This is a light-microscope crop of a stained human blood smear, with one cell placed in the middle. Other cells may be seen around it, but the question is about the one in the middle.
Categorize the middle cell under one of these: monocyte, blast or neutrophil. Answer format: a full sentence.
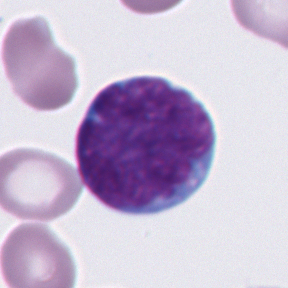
The cell at the middle of the crop is recognized as a blast.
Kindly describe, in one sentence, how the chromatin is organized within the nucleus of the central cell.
The chromatin in this nucleus is coarsely clumped.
